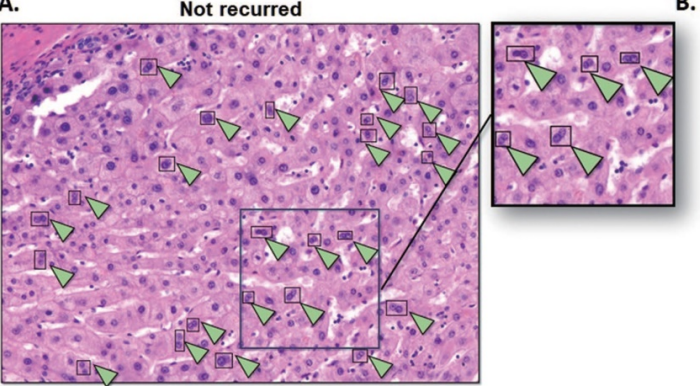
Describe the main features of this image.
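This is liver tissue made up of hepatocytes, large polygonal cells with abundant pink cytoplasm and round central purple nuclei, arranged in plates separated by pale sinusoids. Many scattered hepatocytes contain two nuclei side by side within one cell, and these are boxed and marked by arrowheads throughout the field. The enlarged inset shows several such cells with their paired round nuclei. A band of pinker connective tissue with small dark cells runs along the upper left corner.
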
